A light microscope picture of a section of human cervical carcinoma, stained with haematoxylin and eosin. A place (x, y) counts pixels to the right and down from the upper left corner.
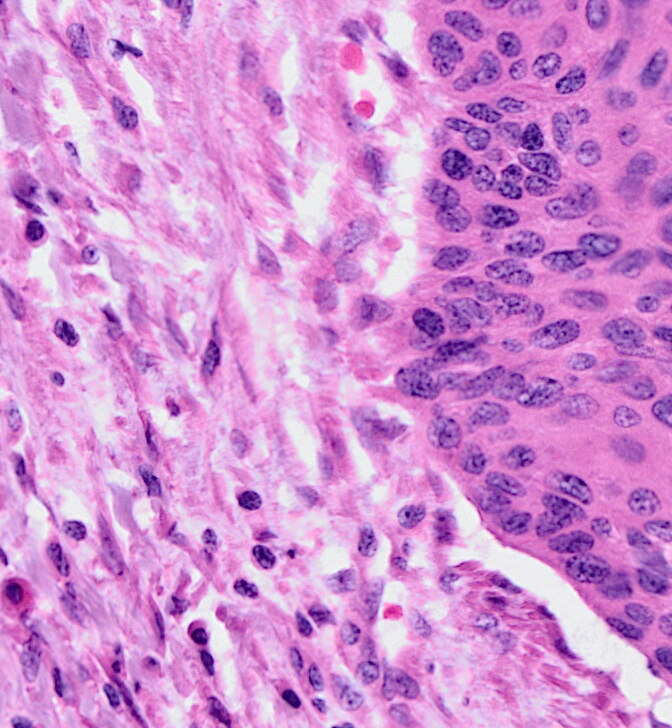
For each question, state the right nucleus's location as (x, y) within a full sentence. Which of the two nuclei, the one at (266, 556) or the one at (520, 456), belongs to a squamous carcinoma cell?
Located at (520, 456), this nucleus is the one belonging to a squamous carcinoma cell.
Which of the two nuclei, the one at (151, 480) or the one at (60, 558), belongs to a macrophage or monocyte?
The nucleus positioned at (60, 558) is the one that belongs to a macrophage or monocyte.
